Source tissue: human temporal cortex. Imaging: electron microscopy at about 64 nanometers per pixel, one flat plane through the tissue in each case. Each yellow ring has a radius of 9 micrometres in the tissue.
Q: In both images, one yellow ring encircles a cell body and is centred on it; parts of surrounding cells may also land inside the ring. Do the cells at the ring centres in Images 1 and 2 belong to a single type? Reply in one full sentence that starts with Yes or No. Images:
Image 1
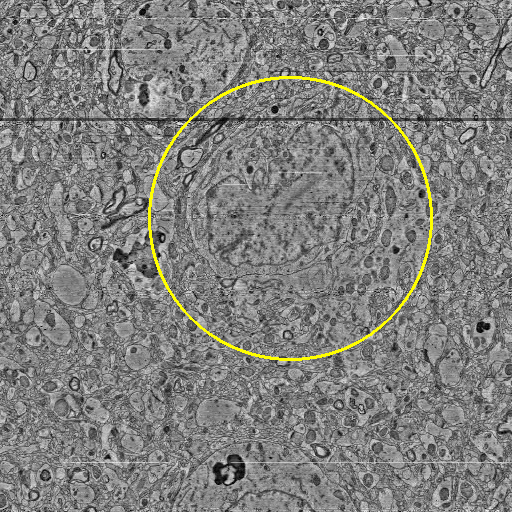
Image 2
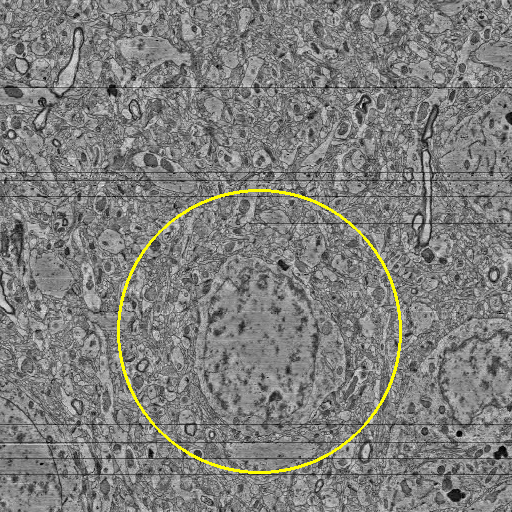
Yes, the cells at the ring centres in Images 1 and 2 are of a single type.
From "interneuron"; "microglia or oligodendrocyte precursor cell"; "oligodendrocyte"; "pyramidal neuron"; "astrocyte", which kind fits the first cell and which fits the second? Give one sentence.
Each of the ringed cells, first and second, is an interneuron.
